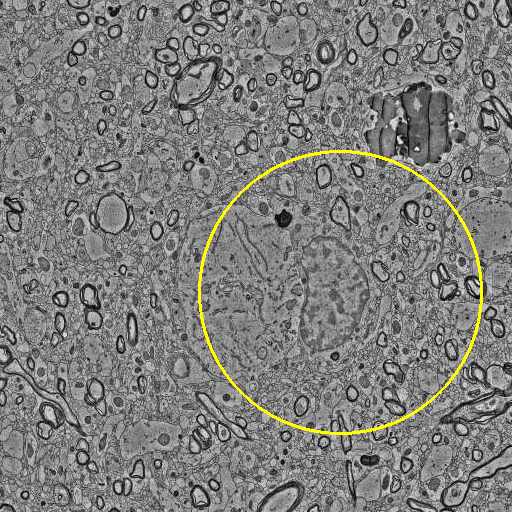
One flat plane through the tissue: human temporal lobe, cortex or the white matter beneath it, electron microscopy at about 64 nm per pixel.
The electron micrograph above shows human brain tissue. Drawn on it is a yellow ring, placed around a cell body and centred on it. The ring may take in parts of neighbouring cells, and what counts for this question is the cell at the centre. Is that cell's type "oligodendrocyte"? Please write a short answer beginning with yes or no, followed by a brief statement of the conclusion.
Yes, its type is the one named.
